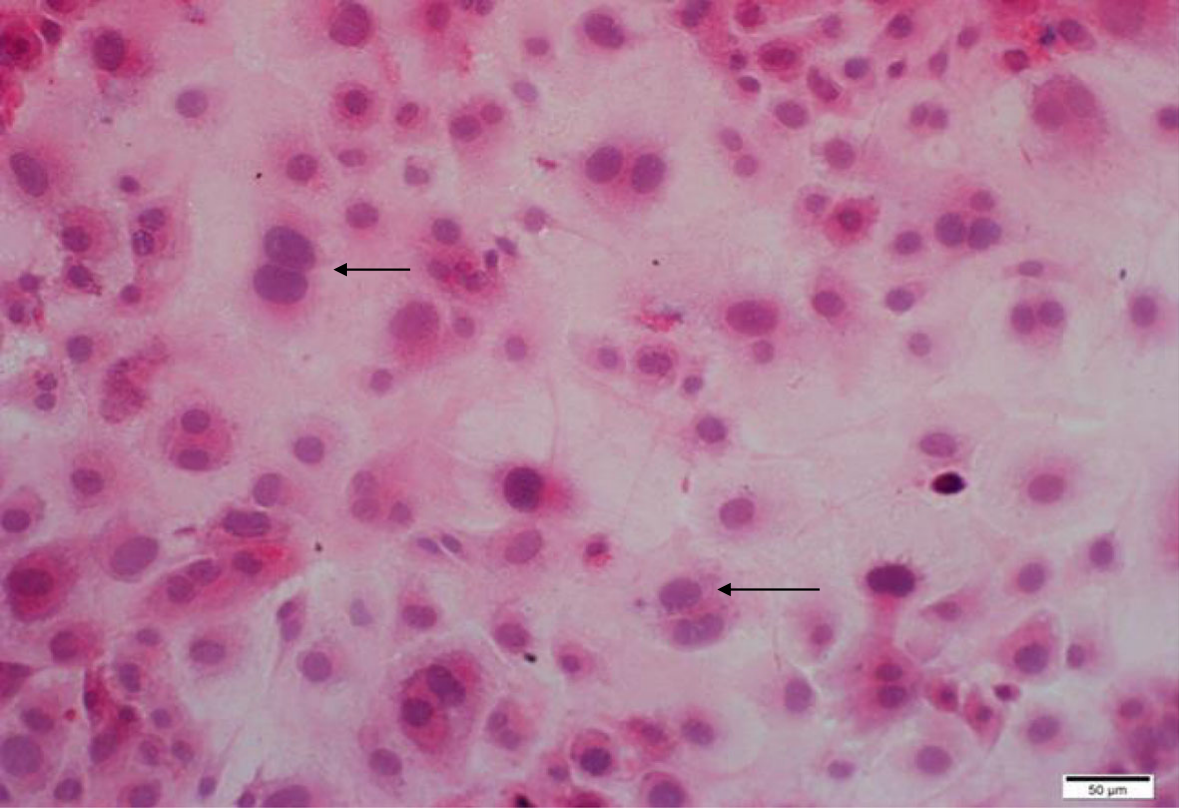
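This preparation shows loosely spread cells on a slide, with pale to deep pink cytoplasm and round to oval purple nuclei. The cells are mostly rounded to polygonal, with faint cell borders, and lie separately or in small clusters. The nuclei differ markedly in size and depth of staining, and several cells contain two nuclei lying side by side, with a few nuclei noticeably enlarged. Scattered small, very dark, condensed nuclei are also present among the cells.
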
